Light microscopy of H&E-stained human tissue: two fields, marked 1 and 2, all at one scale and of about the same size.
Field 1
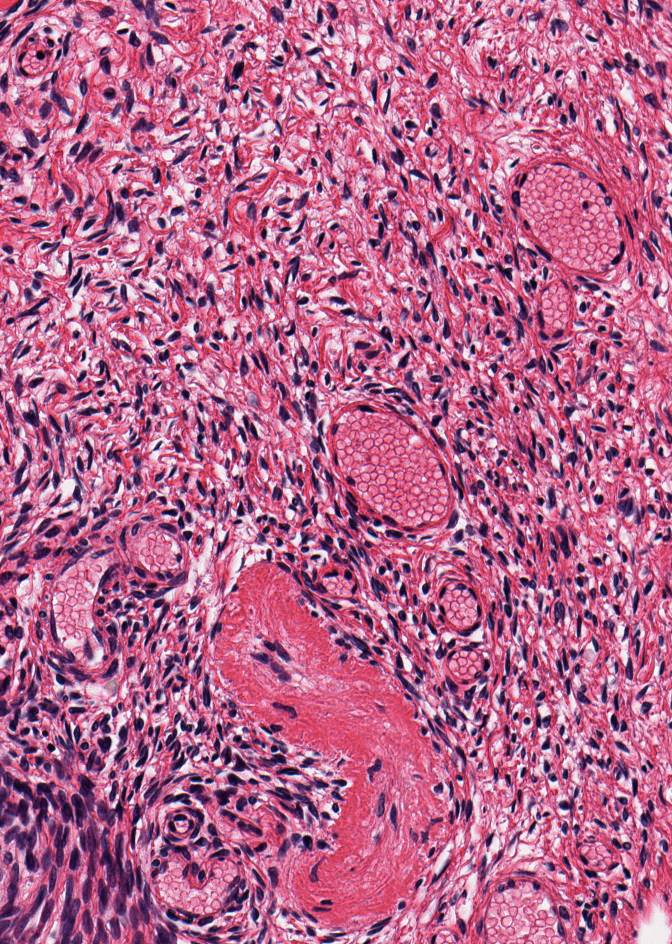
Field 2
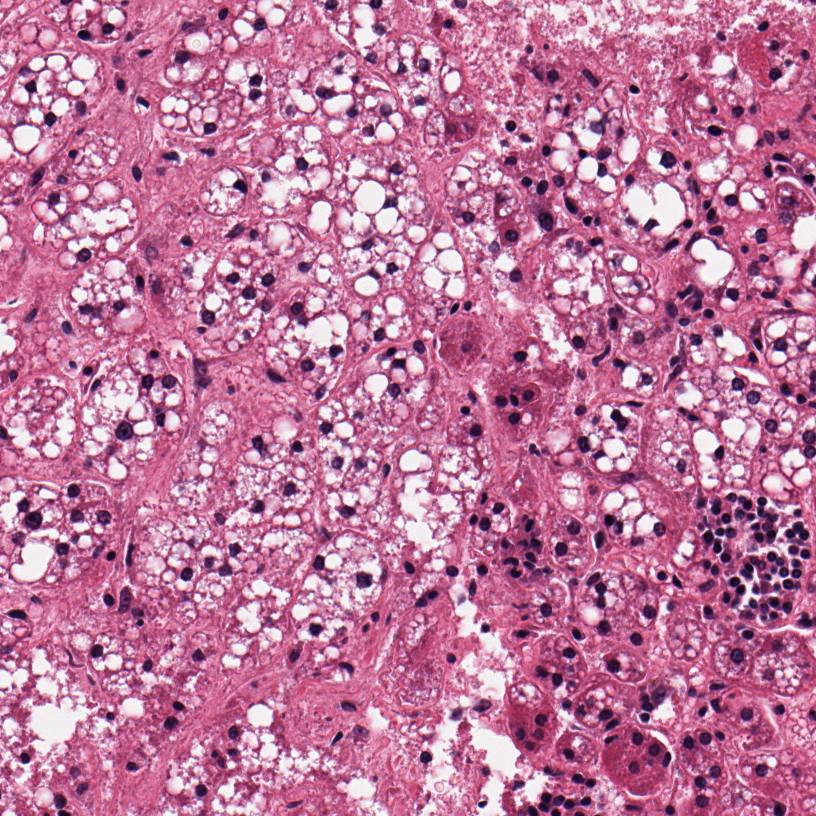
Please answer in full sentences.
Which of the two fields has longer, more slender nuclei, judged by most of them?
On the whole the nuclei of field 1 are more drawn out than those of field 2.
